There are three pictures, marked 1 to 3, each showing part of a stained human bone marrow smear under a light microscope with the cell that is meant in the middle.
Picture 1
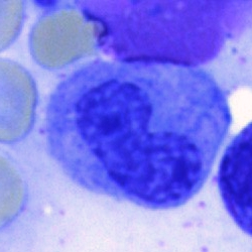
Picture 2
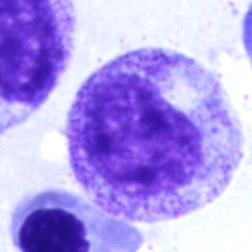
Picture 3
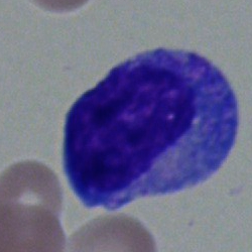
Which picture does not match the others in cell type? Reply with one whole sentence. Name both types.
Picture 3 is the odd one out: it shows a myelocyte, while the others show metamyelocytes.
